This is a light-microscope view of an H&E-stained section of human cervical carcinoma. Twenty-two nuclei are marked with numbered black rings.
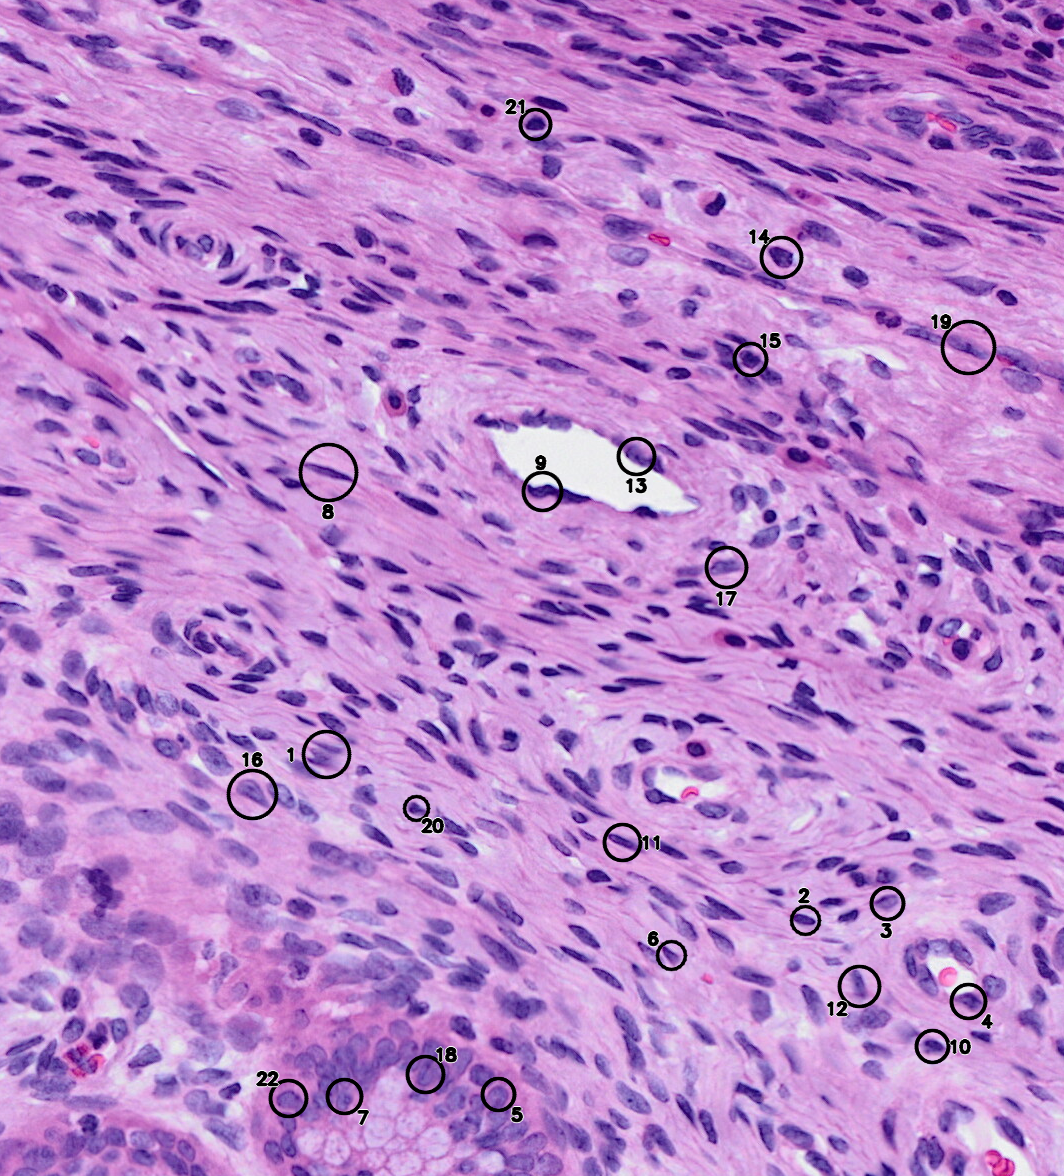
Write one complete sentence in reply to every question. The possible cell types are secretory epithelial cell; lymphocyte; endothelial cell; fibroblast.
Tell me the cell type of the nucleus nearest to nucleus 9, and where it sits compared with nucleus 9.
Lying to the right of nucleus 9, the nearest nucleus is that of an endothelial cell.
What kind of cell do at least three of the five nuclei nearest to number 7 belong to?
Most of the five nuclei nearest to number 7 are those of secretory epithelial cells.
